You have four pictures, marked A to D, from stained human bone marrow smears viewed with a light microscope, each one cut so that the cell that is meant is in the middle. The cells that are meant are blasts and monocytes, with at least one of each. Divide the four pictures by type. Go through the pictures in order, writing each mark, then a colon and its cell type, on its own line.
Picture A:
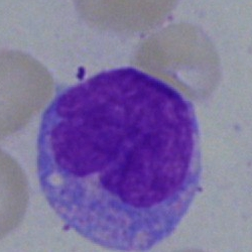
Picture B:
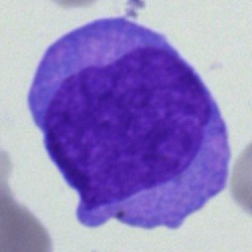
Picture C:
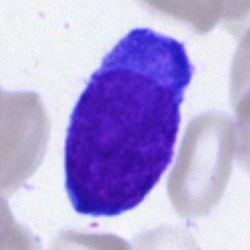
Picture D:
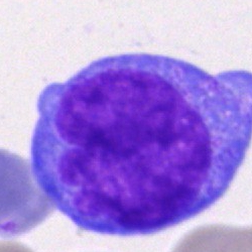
A: monocyte
B: blast
C: blast
D: blast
